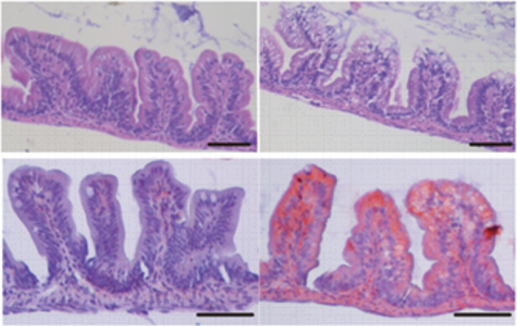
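The mucosa forms tall finger-like folds projecting from a thin wall into the lumen. The folds are covered by a single layer of tall columnar epithelial cells with elongated purple nuclei, around a thin core of connective tissue.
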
